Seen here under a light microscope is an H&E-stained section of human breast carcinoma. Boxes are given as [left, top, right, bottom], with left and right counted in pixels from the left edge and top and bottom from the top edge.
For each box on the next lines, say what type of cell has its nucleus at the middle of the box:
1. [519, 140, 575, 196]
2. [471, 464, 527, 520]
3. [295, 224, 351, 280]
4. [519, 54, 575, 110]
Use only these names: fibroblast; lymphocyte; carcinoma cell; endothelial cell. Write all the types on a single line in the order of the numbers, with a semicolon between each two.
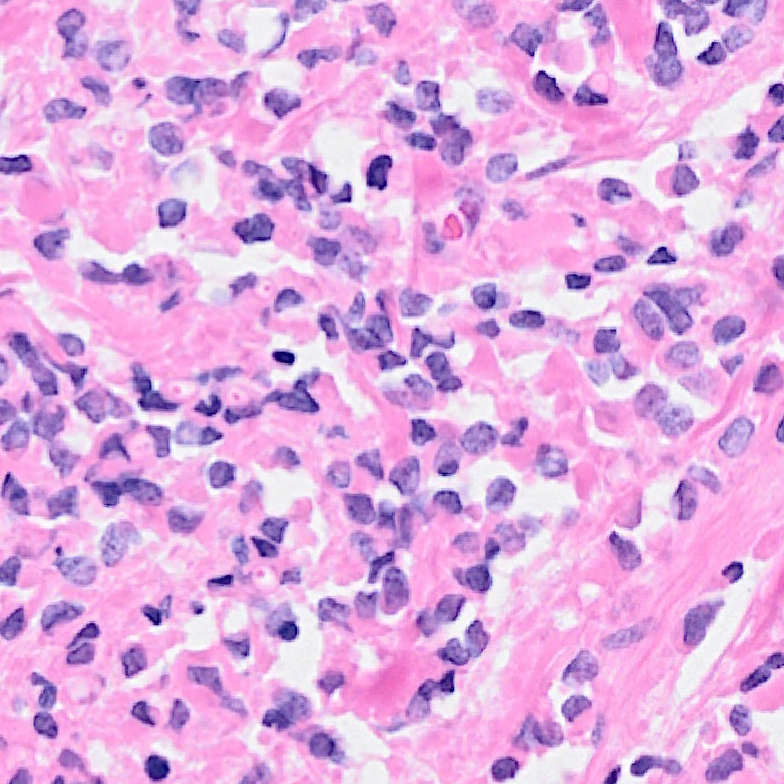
fibroblast; carcinoma cell; carcinoma cell; carcinoma cell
